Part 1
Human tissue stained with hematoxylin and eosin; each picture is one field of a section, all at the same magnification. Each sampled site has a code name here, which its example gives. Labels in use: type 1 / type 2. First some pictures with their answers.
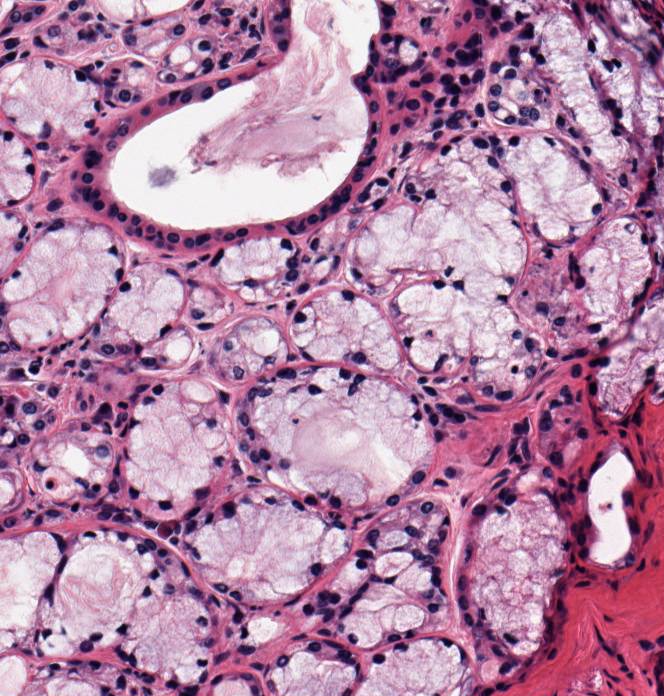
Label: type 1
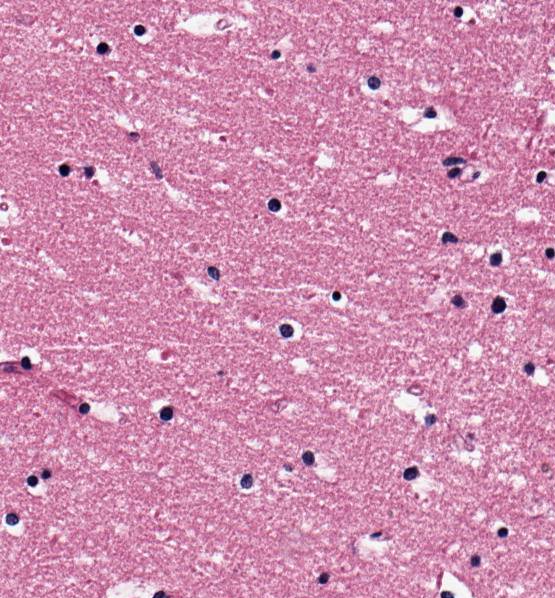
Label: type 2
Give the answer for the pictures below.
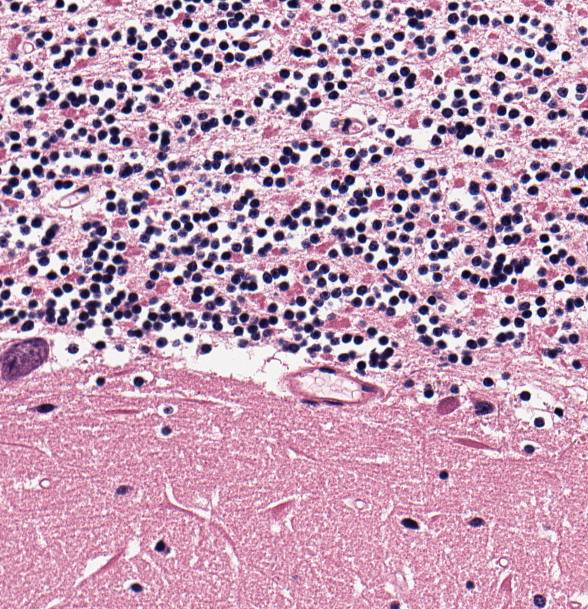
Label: type 2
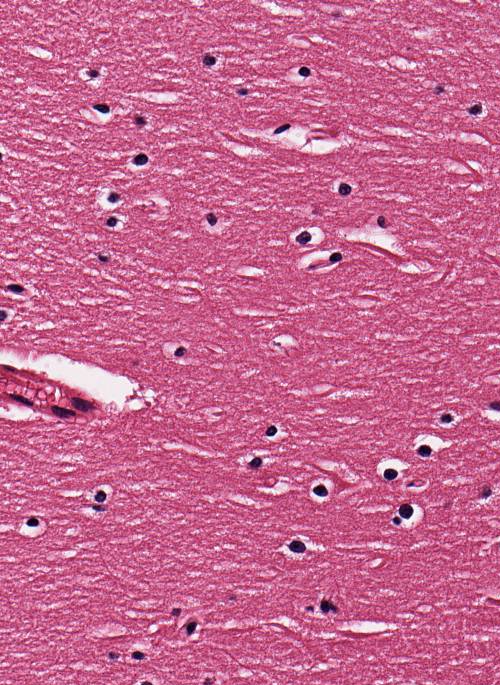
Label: type 2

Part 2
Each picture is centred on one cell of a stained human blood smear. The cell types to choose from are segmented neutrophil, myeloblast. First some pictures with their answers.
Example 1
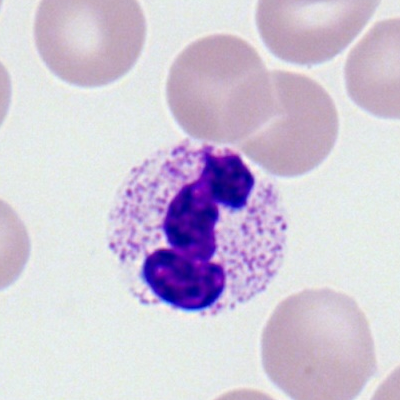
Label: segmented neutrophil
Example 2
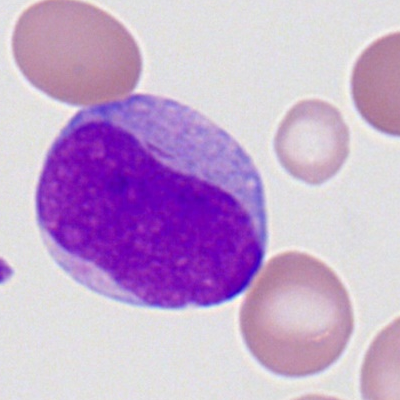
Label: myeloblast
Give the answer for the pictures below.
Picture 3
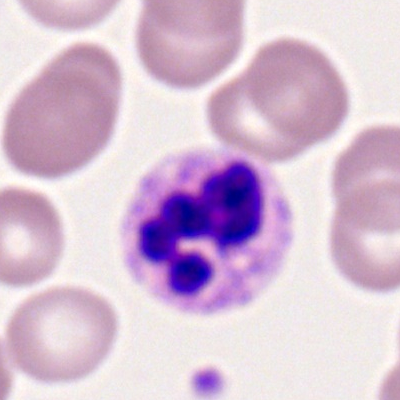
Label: segmented neutrophil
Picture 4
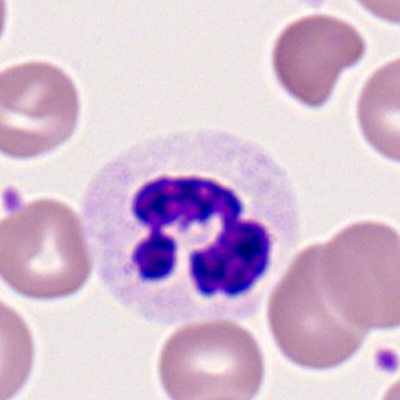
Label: segmented neutrophil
